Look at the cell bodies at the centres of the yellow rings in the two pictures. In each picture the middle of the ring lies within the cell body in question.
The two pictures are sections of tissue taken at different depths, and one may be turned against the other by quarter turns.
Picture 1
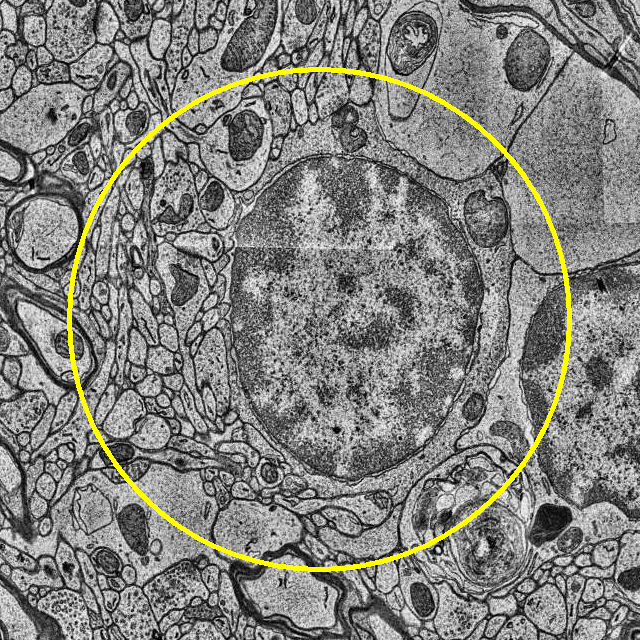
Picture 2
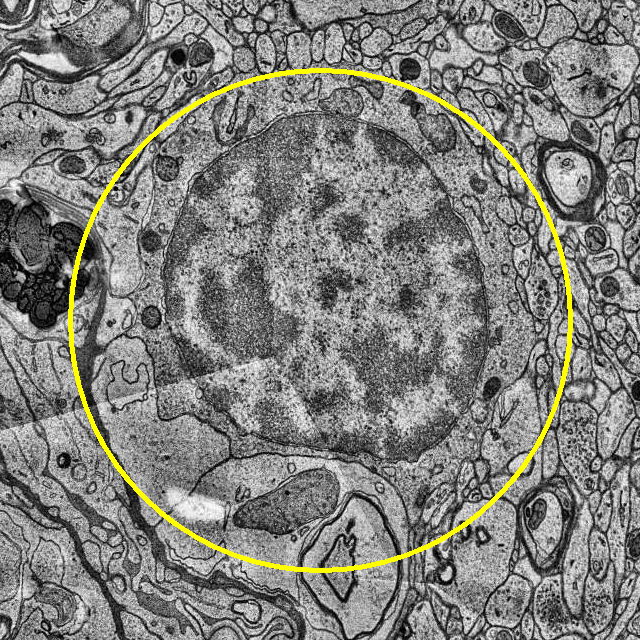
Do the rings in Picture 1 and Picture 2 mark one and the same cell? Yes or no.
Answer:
yes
